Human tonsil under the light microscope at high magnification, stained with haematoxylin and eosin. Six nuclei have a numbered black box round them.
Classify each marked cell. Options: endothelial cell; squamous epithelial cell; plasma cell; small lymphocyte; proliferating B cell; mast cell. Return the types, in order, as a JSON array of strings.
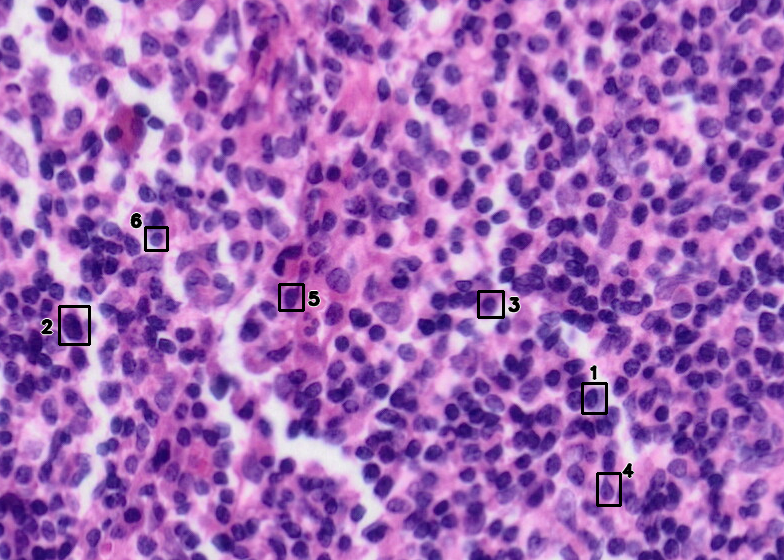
["small lymphocyte", "proliferating B cell", "plasma cell", "small lymphocyte", "plasma cell", "small lymphocyte"]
